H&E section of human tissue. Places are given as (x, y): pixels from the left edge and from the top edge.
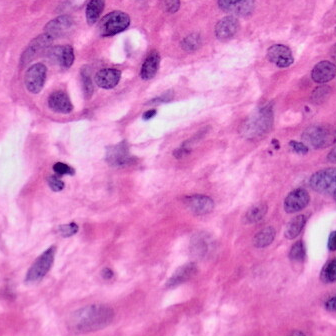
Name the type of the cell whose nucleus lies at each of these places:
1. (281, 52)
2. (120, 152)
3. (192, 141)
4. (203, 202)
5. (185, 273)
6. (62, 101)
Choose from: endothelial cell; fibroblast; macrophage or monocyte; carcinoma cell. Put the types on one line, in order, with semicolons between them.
macrophage or monocyte; fibroblast; fibroblast; fibroblast; fibroblast; macrophage or monocyte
